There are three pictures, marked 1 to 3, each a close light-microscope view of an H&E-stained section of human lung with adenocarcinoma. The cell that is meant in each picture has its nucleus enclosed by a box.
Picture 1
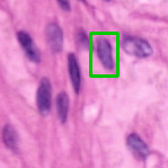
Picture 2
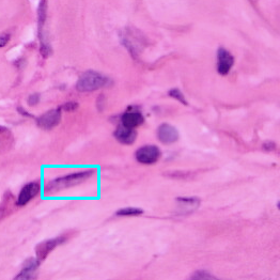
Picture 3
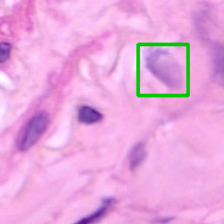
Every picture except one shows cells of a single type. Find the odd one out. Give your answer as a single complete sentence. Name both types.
The different one is picture 1; it shows a “smooth muscle cell or pericyte”, whereas all the others show fibroblasts.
